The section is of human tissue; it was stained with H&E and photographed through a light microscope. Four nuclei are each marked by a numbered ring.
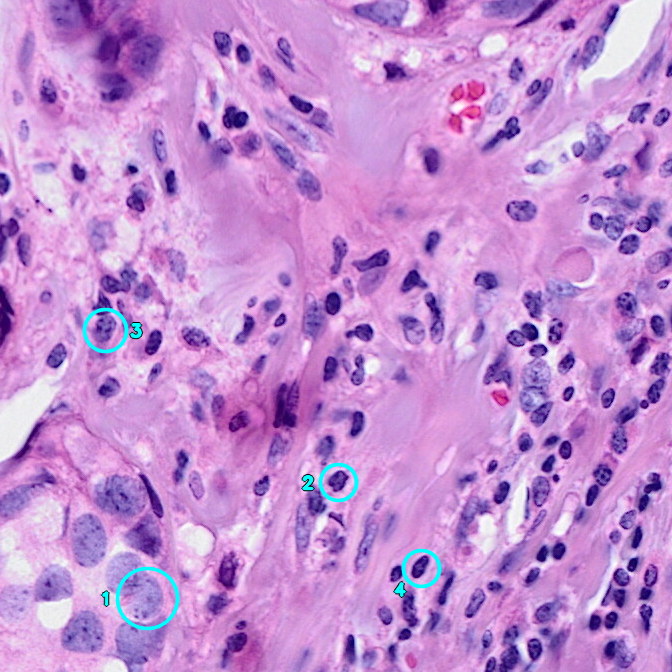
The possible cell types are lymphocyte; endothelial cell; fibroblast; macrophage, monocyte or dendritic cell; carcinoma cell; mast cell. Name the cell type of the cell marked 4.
lymphocyte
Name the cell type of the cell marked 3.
lymphocyte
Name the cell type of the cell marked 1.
carcinoma cell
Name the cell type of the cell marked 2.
lymphocyte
